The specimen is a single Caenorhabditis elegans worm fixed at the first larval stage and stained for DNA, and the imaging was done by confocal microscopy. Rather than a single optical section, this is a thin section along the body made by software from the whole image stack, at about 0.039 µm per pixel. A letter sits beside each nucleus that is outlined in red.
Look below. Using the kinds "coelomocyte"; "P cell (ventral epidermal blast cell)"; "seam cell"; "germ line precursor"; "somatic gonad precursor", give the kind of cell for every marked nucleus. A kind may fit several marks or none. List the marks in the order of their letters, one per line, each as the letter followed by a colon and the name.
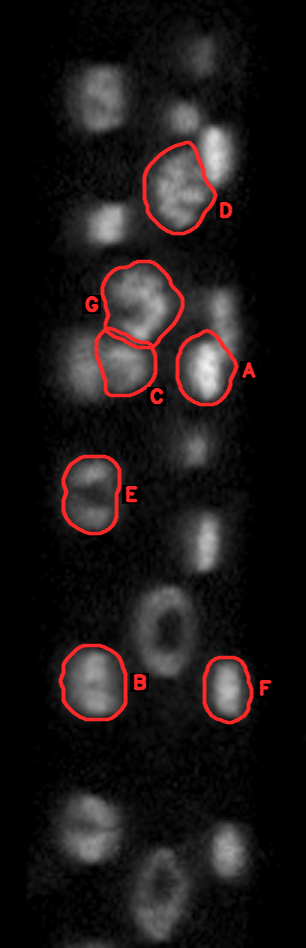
A: coelomocyte
B: P cell (ventral epidermal blast cell)
C: somatic gonad precursor
D: germ line precursor
E: seam cell
F: P cell (ventral epidermal blast cell)
G: germ line precursor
